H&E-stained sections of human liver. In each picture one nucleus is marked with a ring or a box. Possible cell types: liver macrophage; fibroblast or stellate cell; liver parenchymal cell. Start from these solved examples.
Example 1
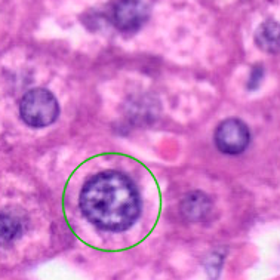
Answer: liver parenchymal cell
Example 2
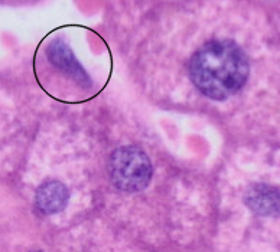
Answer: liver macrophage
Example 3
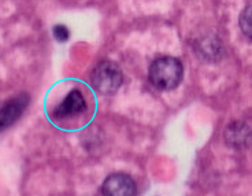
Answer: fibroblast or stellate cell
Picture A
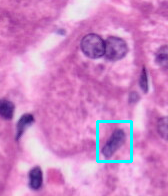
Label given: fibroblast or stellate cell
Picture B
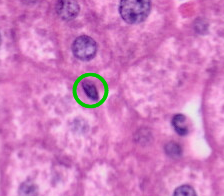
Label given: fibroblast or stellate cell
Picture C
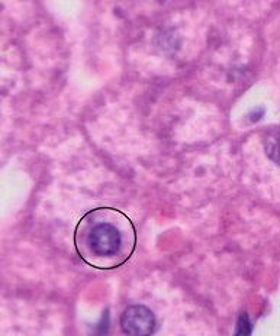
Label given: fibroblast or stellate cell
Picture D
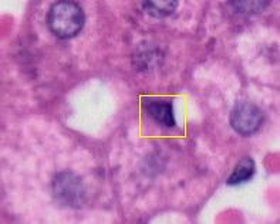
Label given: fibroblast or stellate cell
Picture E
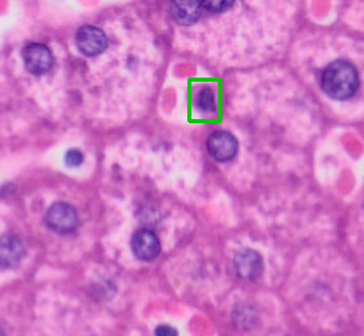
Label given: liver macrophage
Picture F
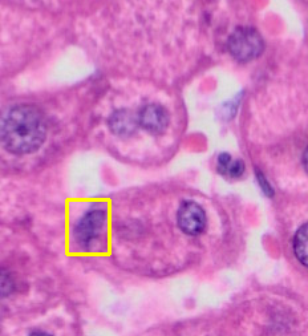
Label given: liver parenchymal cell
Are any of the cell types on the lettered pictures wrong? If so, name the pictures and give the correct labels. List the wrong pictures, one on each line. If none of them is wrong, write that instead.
C: change fibroblast or stellate cell to liver parenchymal cell
F: change liver parenchymal cell to fibroblast or stellate cell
